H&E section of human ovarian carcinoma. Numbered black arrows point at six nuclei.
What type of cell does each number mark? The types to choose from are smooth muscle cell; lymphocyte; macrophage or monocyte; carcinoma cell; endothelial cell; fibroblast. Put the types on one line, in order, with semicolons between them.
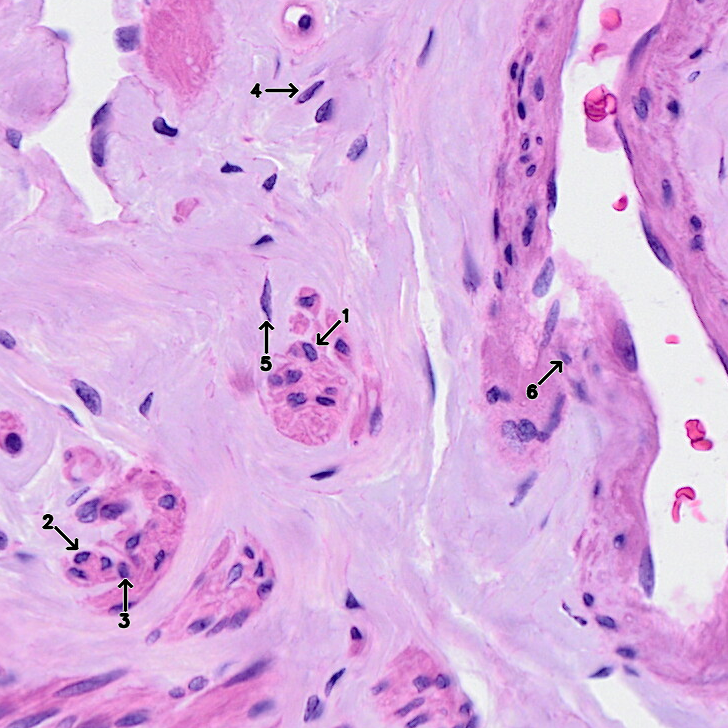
smooth muscle cell; smooth muscle cell; smooth muscle cell; fibroblast; fibroblast; smooth muscle cell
